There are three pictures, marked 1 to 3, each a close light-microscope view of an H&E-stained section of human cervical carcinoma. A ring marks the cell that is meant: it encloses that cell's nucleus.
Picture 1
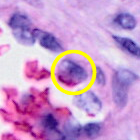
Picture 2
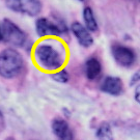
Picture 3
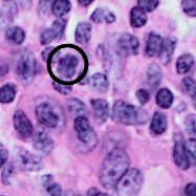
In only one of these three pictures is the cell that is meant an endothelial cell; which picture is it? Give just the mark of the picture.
1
